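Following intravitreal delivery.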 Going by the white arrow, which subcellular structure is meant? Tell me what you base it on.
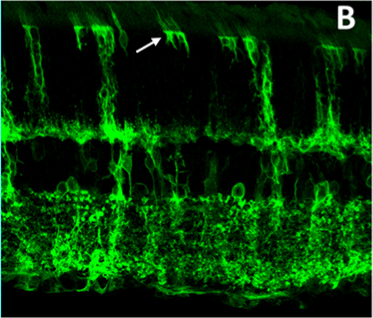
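The arrow points to fan-shaped green endings at the top of the radial fibres. These endings line up along one level near the upper edge of the tissue.
Answer: apical processes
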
